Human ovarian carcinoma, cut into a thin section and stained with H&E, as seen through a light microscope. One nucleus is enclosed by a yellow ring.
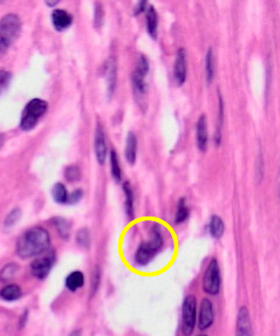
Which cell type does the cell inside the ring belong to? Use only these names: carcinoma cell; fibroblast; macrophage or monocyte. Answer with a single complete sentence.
It is as a fibroblast that the cell inside the ring is recorded.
